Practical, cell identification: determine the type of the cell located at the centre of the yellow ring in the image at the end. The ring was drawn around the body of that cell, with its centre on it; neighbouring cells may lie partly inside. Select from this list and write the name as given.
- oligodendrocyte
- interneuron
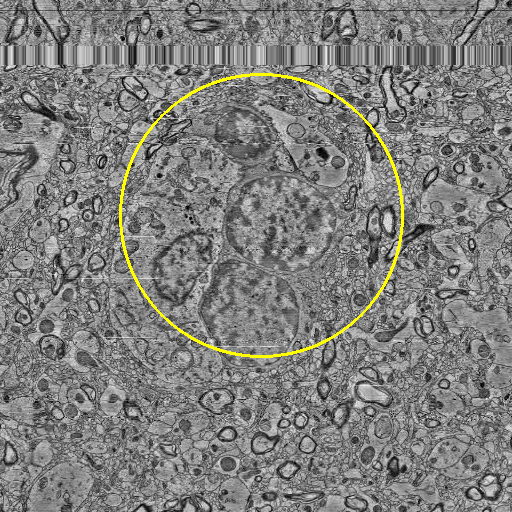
oligodendrocyte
